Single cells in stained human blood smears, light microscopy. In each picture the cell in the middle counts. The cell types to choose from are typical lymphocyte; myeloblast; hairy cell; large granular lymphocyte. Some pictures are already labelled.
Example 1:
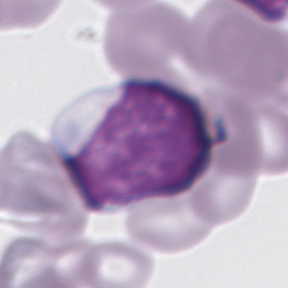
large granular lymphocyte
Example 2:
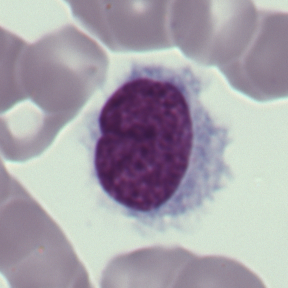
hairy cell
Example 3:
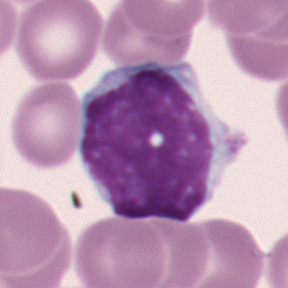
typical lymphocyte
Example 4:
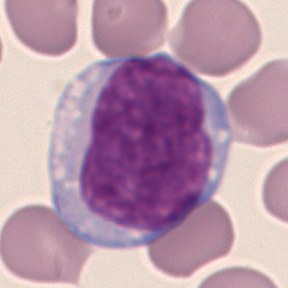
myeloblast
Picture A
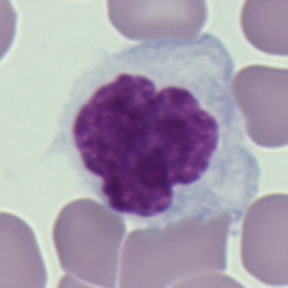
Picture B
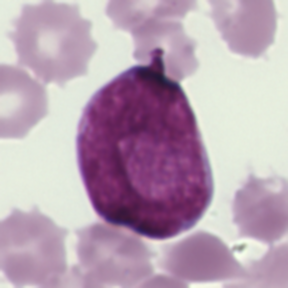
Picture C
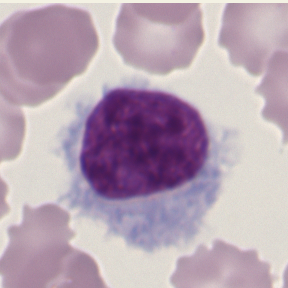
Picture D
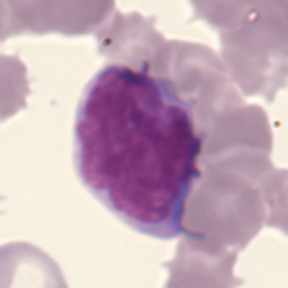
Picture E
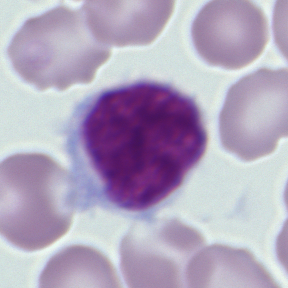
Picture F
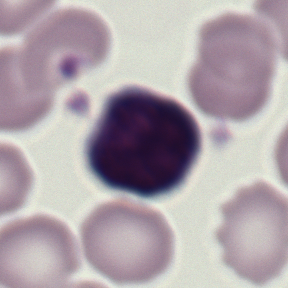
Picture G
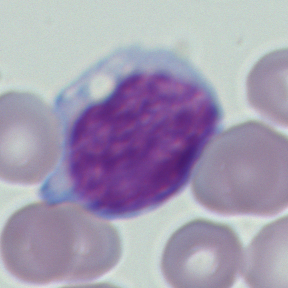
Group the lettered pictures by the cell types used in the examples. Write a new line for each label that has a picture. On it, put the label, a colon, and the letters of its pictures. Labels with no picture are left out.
typical lymphocyte: F
myeloblast: B, D, G
hairy cell: A, C, E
